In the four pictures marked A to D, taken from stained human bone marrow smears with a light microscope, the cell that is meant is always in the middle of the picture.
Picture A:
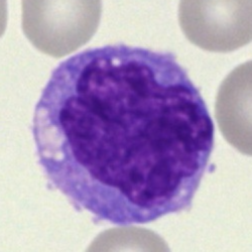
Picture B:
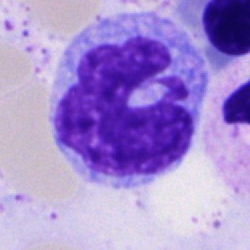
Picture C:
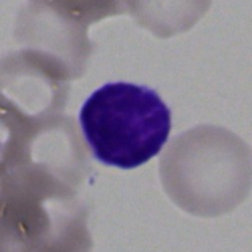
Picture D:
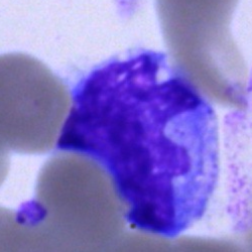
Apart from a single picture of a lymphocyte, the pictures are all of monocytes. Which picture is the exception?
C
